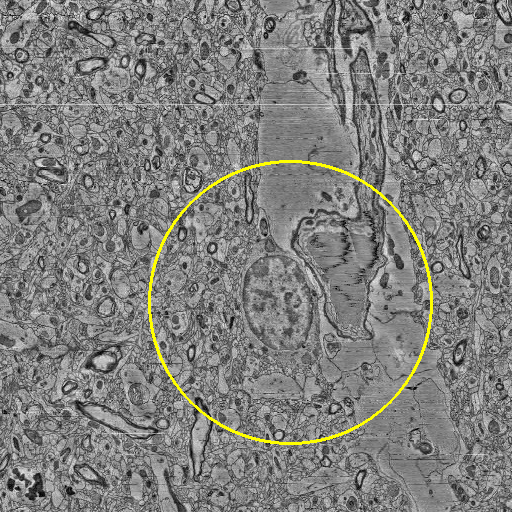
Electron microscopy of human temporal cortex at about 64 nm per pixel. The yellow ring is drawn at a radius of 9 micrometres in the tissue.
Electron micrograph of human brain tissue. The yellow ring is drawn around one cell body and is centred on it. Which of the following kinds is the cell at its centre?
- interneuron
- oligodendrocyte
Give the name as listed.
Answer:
oligodendrocyte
